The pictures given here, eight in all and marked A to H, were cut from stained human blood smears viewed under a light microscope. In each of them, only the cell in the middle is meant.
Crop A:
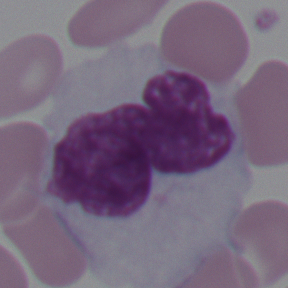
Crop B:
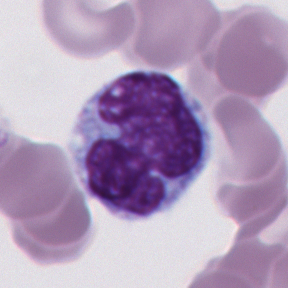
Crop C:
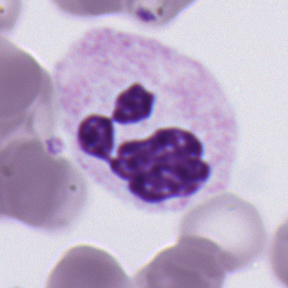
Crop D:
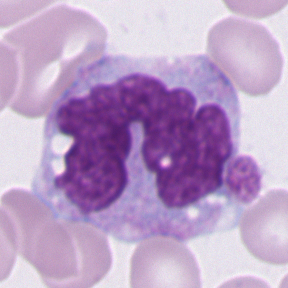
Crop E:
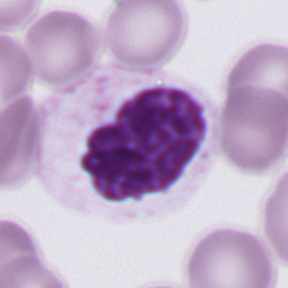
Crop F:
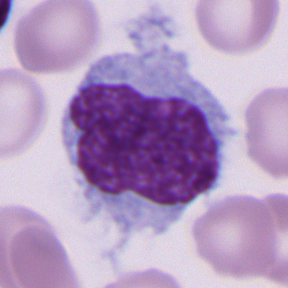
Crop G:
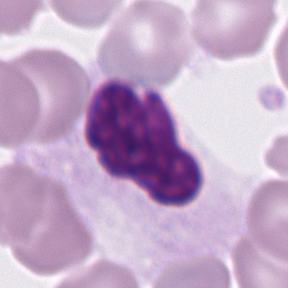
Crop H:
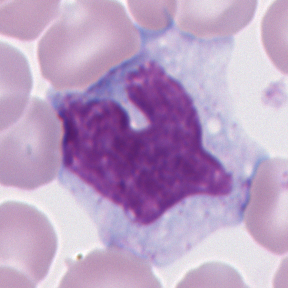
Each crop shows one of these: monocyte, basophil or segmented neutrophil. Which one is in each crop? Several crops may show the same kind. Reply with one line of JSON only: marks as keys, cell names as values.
{"A": "monocyte", "B": "monocyte", "C": "segmented neutrophil", "D": "monocyte", "E": "segmented neutrophil", "F": "monocyte", "G": "segmented neutrophil", "H": "monocyte"}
